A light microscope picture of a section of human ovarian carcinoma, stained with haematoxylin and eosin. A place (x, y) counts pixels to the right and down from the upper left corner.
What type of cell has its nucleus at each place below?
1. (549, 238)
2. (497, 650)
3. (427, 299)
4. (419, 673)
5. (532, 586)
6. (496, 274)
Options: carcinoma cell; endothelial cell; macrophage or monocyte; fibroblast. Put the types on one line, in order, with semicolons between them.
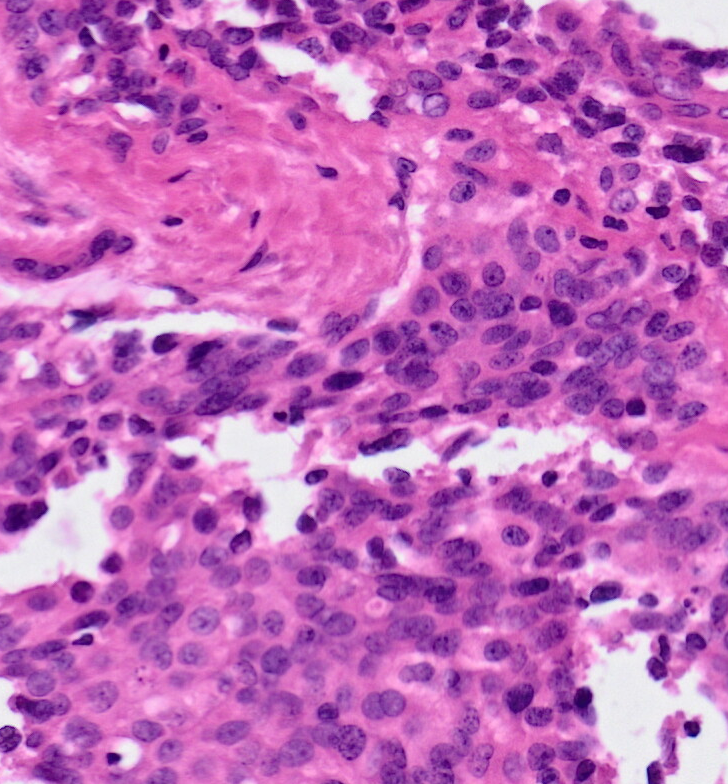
macrophage or monocyte; macrophage or monocyte; carcinoma cell; macrophage or monocyte; carcinoma cell; carcinoma cell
